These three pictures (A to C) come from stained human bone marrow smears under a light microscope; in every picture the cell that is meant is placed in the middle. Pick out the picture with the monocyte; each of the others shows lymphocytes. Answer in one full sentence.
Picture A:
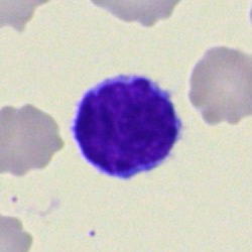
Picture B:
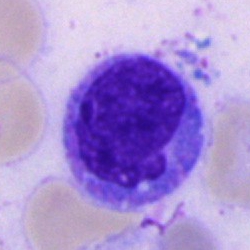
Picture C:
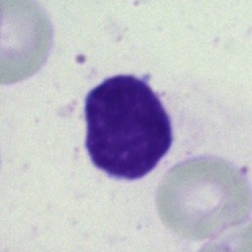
Picture B is the one that shows the monocyte.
